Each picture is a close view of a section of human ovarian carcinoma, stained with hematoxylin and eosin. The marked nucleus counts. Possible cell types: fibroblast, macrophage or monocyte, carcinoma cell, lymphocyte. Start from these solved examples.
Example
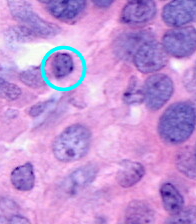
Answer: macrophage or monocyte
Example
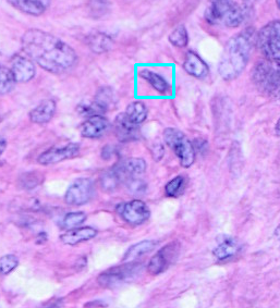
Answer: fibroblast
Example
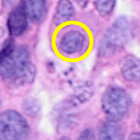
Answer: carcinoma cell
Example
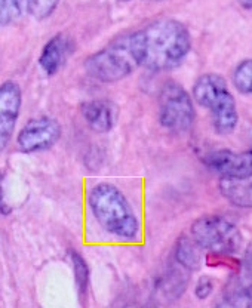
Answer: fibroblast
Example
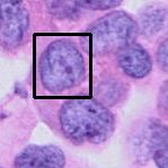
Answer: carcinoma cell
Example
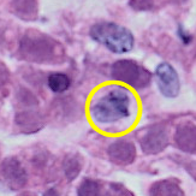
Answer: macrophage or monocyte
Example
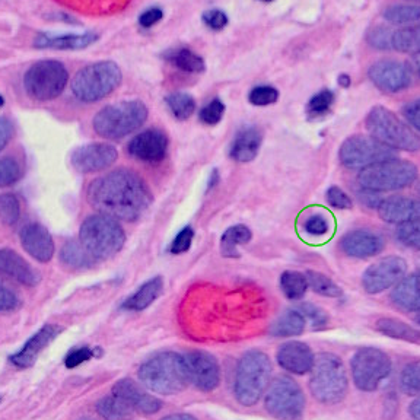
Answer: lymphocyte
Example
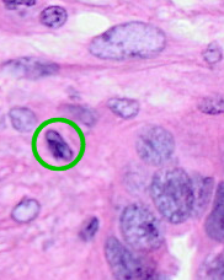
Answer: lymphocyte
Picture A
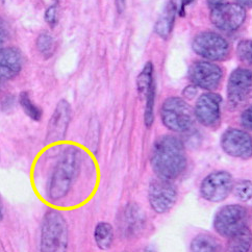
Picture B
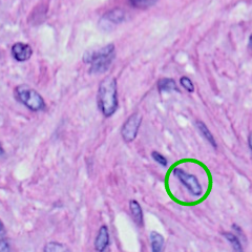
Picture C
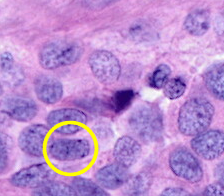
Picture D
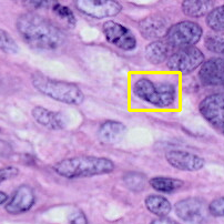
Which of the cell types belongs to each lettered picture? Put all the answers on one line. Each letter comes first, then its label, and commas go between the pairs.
A fibroblast, B fibroblast, C carcinoma cell, D macrophage or monocyte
